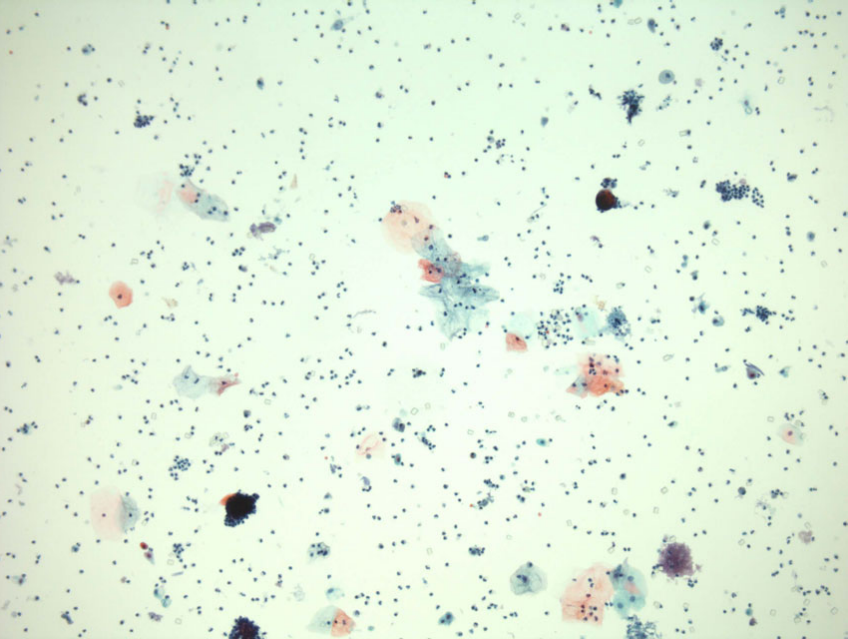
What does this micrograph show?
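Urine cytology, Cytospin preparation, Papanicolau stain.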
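The epithelial cells are large, flat and polygonal, some with folded edges. They lie singly or in small loose groups. Their abundant cytoplasm stains pink-orange in some cells and blue-green in others. Countless small round cells with dark nuclei lie scattered across the clear background, singly and in loose clusters. A few small groups of these cells overlie the epithelial cells. A few dark, densely stained clumps and a purple fluffy aggregate are also present.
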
